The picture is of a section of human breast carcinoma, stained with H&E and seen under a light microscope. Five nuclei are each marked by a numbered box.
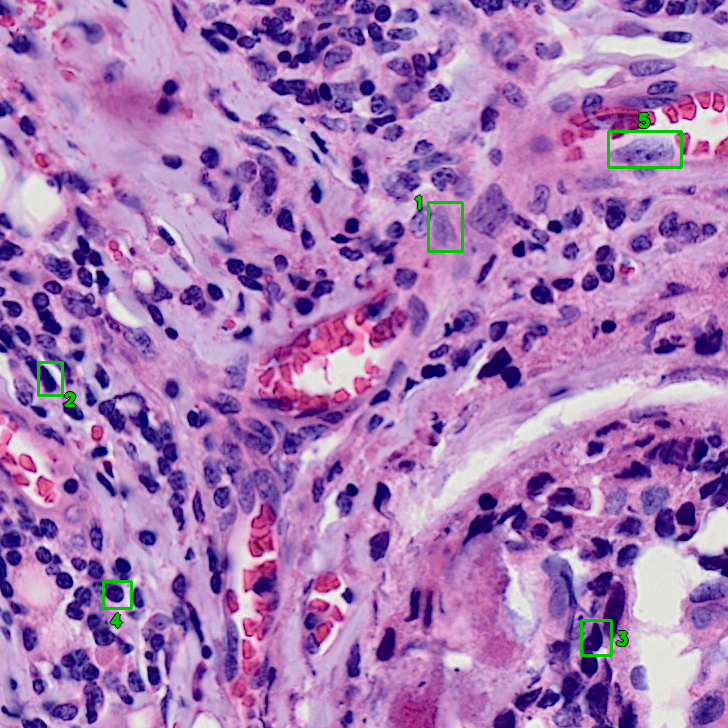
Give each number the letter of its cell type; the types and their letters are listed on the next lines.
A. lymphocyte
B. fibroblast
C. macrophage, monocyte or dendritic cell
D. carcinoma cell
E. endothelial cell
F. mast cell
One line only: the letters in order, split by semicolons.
E; A; D; A; E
